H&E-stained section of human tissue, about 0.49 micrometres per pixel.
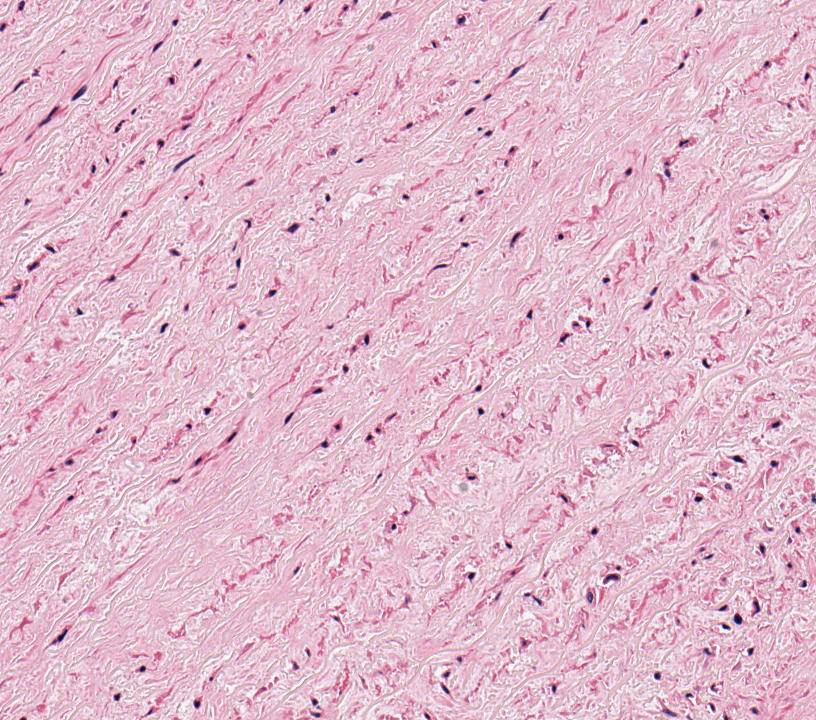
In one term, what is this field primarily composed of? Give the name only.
tunica media of an artery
